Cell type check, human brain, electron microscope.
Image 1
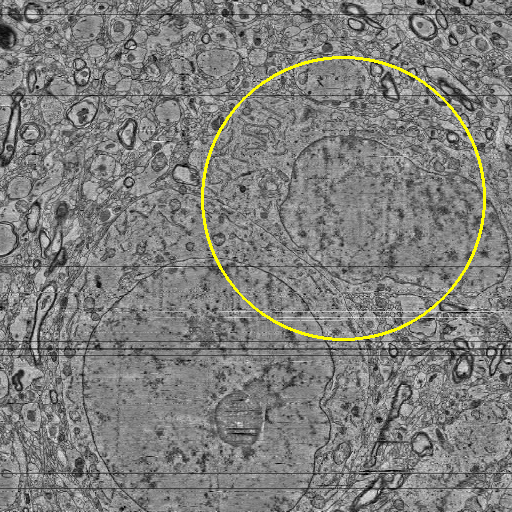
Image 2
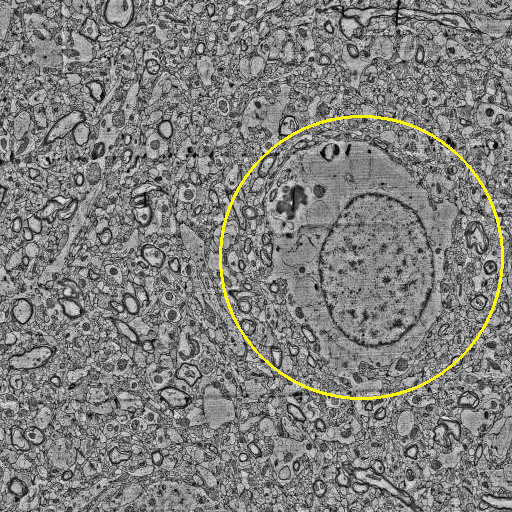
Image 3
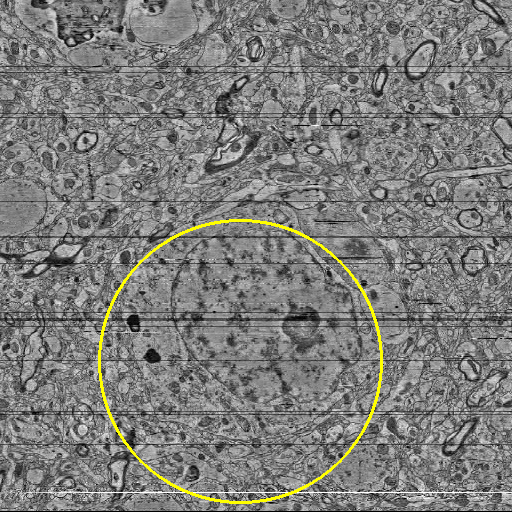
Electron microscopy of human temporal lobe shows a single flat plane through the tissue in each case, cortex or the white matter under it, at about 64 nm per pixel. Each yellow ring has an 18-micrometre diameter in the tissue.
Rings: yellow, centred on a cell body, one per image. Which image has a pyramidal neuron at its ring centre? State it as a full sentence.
The ring in Image 3 is centred on it.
